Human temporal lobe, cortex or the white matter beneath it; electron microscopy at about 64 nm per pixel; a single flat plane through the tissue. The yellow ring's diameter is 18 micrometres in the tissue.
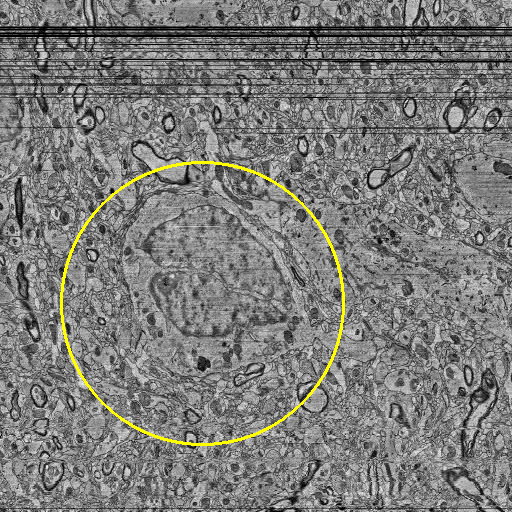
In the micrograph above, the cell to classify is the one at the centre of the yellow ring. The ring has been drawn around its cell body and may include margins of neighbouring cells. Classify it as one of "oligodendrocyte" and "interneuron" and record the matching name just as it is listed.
interneuron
